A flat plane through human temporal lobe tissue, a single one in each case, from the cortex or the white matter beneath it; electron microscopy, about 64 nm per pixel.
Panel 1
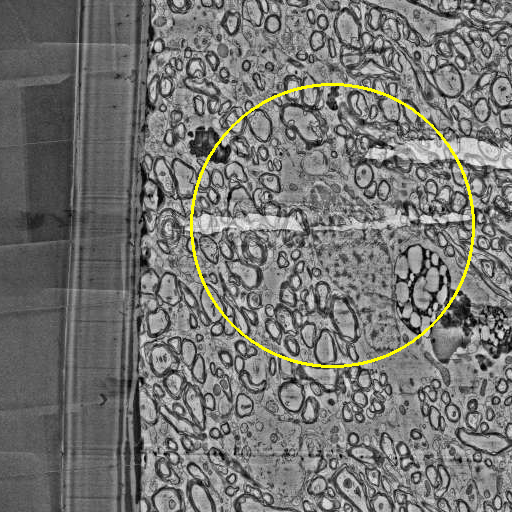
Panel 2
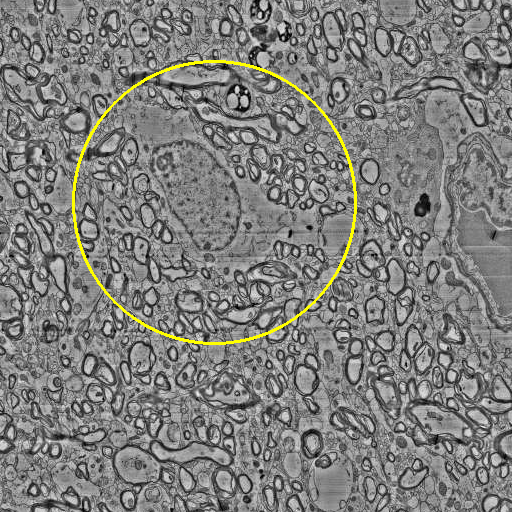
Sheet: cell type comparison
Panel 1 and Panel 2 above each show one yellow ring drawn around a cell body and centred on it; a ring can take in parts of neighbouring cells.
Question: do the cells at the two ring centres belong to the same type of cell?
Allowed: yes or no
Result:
yes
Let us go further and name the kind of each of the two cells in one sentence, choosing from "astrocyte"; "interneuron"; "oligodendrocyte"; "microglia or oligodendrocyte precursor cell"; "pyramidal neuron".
In each picture the ringed cell is an astrocyte.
